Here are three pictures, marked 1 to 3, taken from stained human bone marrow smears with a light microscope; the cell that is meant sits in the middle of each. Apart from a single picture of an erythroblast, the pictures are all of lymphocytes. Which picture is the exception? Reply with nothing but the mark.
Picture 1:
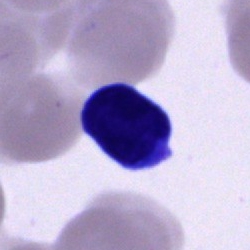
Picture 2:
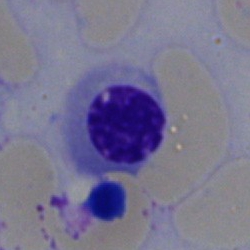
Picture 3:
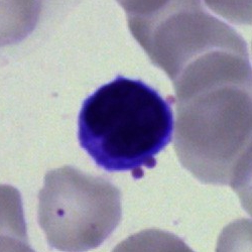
2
